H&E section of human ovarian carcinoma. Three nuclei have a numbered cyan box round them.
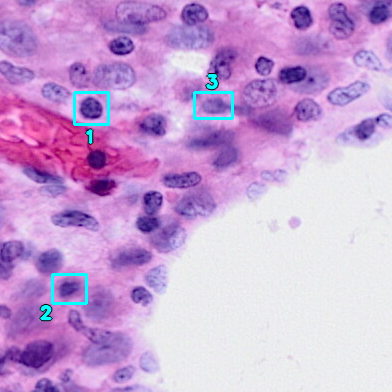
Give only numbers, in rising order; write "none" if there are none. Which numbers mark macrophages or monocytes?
3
